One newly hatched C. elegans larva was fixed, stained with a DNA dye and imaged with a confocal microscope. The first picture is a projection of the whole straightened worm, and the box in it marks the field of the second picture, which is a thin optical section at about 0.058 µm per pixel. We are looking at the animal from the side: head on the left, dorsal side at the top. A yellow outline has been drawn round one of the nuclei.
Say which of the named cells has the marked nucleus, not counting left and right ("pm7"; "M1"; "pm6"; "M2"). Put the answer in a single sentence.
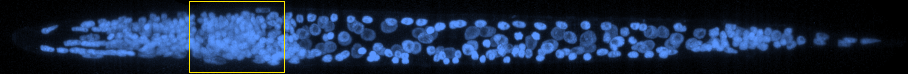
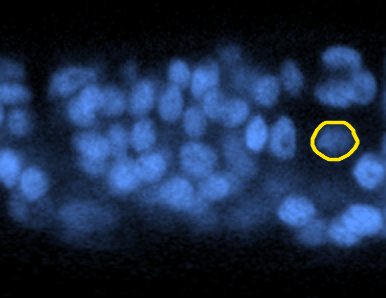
The marked cell is pm7, a pharyngeal muscle cell.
